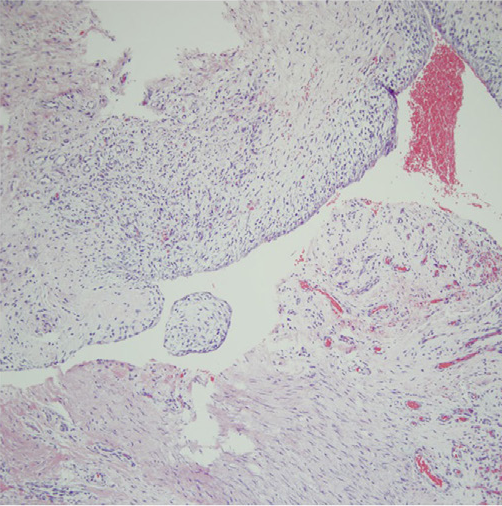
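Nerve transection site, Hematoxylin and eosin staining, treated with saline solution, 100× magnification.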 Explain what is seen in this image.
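A small rounded fragment of similar cellular tissue lies free within one of the spaces. Bright red collections of red blood cells lie at the edges of the spaces, and many small vessels filled with red cells run through the lower tissue. The background of the tissue is pale pink.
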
